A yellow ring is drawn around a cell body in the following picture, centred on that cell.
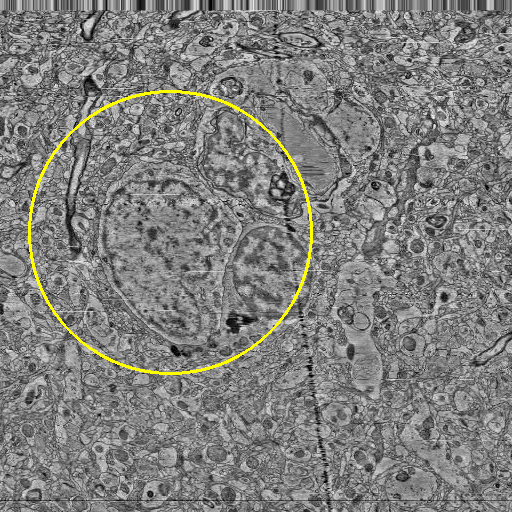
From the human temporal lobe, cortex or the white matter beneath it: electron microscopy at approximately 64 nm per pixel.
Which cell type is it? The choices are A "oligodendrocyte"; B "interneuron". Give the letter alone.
B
